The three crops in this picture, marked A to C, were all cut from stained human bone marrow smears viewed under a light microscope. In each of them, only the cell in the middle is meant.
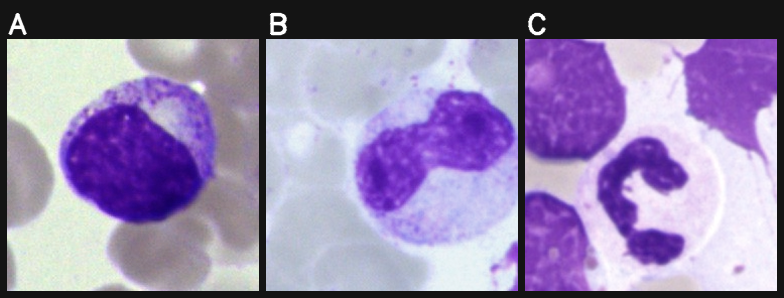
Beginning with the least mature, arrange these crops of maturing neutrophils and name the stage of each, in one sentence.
Sequenced by maturity from least to most, the crops are crop A (a myelocyte), crop B (a band neutrophil) and crop C (a segmented neutrophil).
